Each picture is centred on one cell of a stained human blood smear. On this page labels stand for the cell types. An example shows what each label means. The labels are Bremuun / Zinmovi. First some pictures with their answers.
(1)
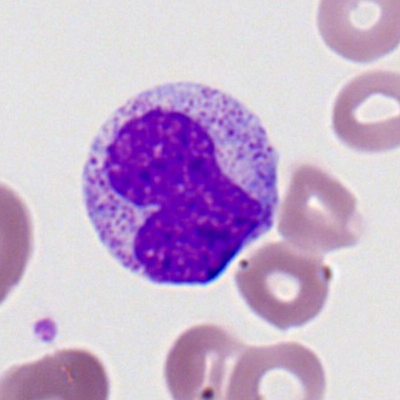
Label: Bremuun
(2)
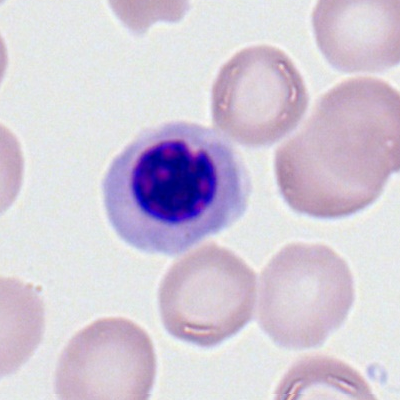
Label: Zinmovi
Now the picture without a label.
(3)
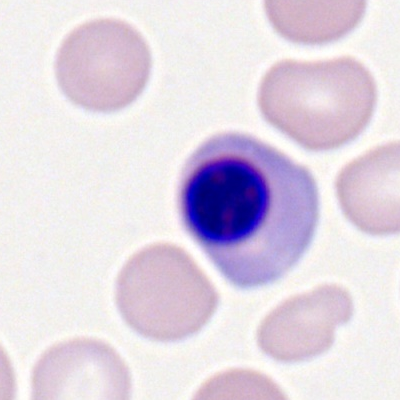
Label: Zinmovi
